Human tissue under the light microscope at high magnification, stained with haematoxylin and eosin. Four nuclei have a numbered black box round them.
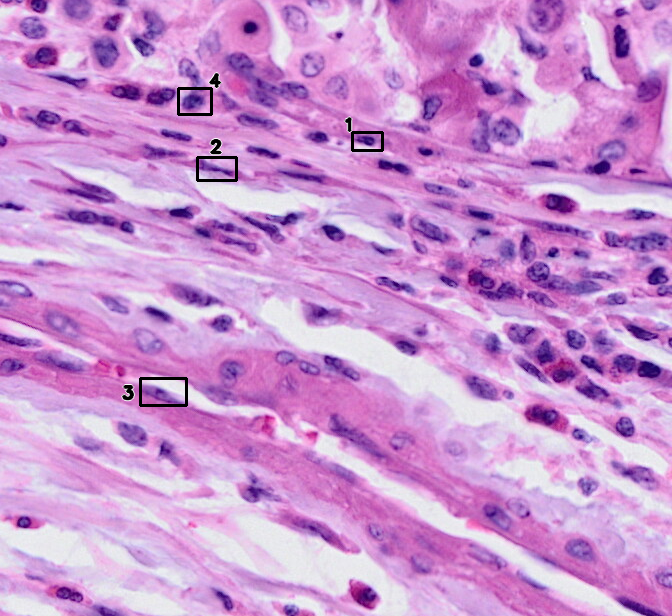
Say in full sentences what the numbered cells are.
Cells 1 and 4 are lymphocytes. Cell 2 is a fibroblast. Cell 3 is an endothelial cell.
